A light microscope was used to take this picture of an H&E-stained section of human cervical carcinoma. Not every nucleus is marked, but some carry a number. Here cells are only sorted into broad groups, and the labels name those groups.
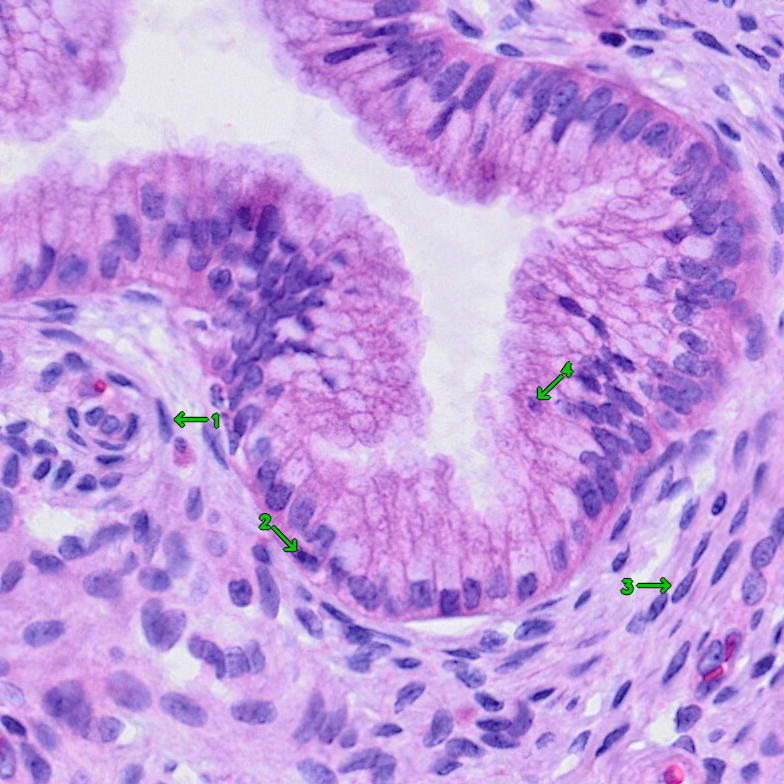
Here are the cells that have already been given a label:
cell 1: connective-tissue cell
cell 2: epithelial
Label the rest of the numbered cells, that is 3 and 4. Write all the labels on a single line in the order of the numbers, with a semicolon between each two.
connective-tissue cell; epithelial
